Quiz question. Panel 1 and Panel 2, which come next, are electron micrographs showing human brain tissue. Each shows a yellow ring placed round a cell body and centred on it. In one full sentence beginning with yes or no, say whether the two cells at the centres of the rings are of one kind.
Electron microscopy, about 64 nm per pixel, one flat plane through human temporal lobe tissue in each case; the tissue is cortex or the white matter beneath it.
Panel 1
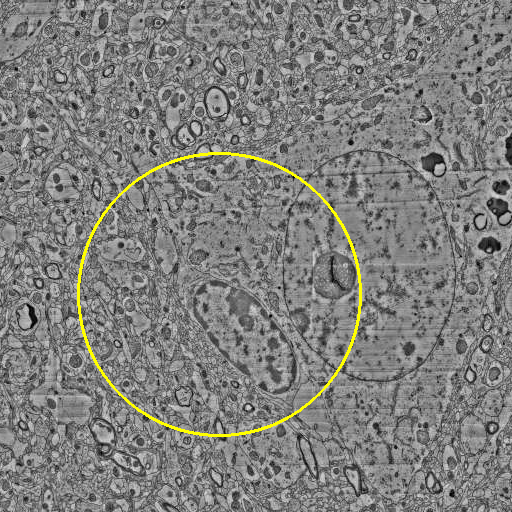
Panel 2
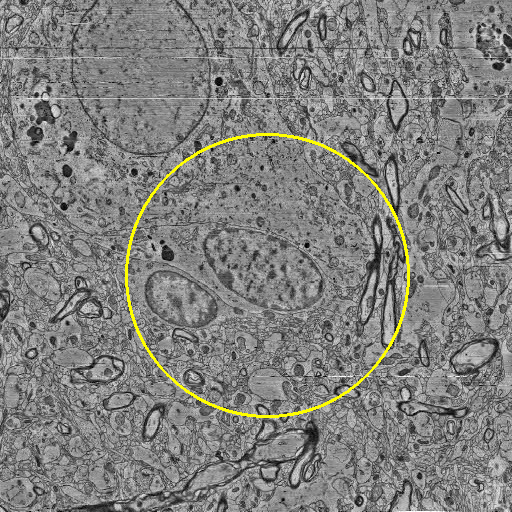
Yes, Panel 1 and Panel 2 show one kind of cell at the centre of the ring.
